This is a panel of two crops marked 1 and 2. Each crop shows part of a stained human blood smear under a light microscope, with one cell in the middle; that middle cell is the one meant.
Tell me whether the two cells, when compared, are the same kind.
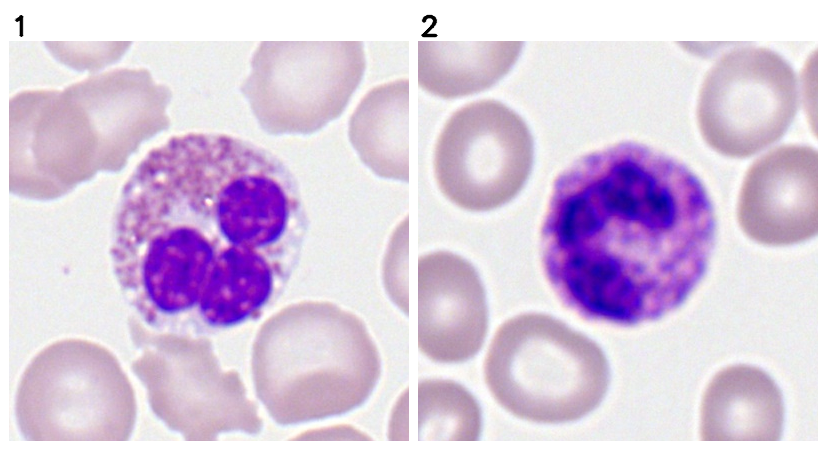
yes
